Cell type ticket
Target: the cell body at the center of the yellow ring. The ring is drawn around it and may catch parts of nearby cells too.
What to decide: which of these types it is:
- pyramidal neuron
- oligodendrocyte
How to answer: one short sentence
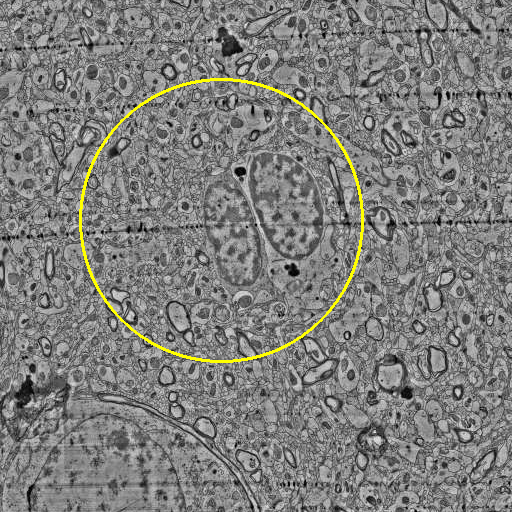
The cell at the center of the ring is an oligodendrocyte.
